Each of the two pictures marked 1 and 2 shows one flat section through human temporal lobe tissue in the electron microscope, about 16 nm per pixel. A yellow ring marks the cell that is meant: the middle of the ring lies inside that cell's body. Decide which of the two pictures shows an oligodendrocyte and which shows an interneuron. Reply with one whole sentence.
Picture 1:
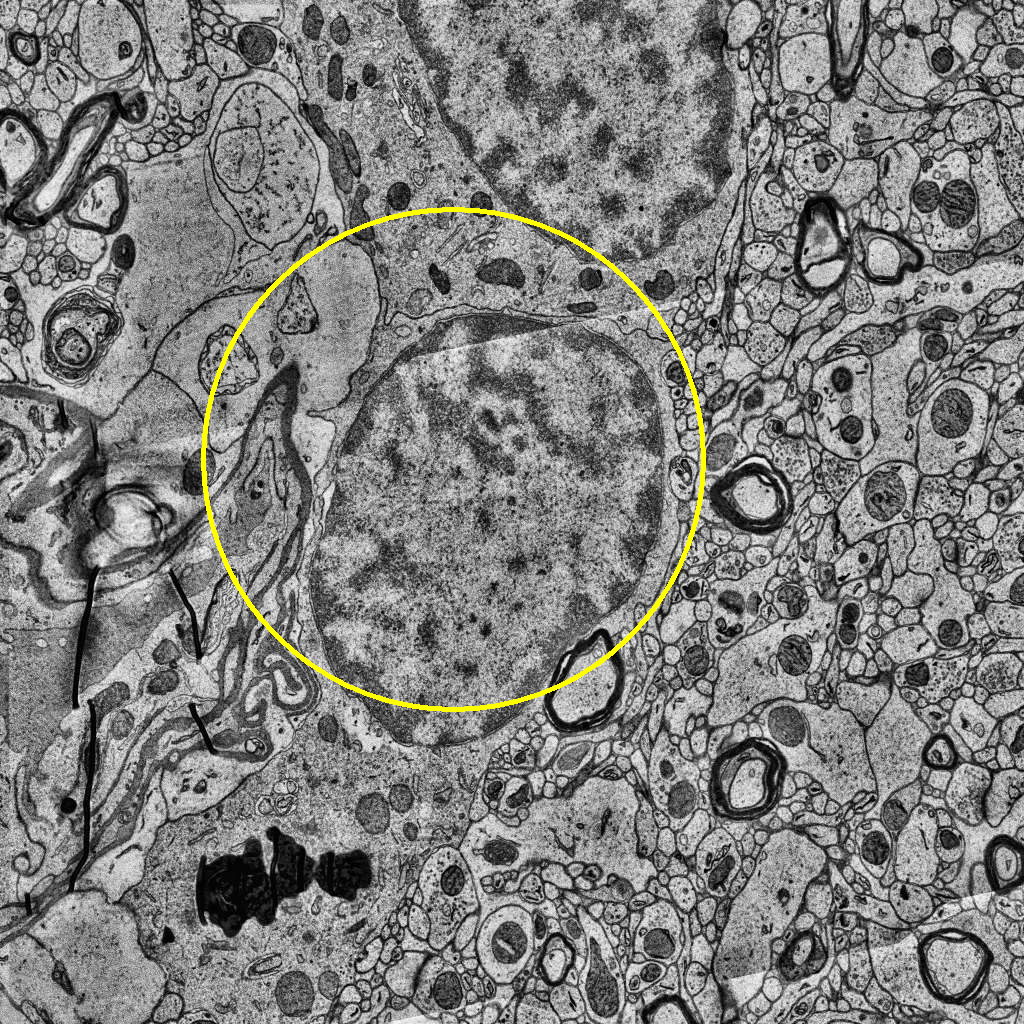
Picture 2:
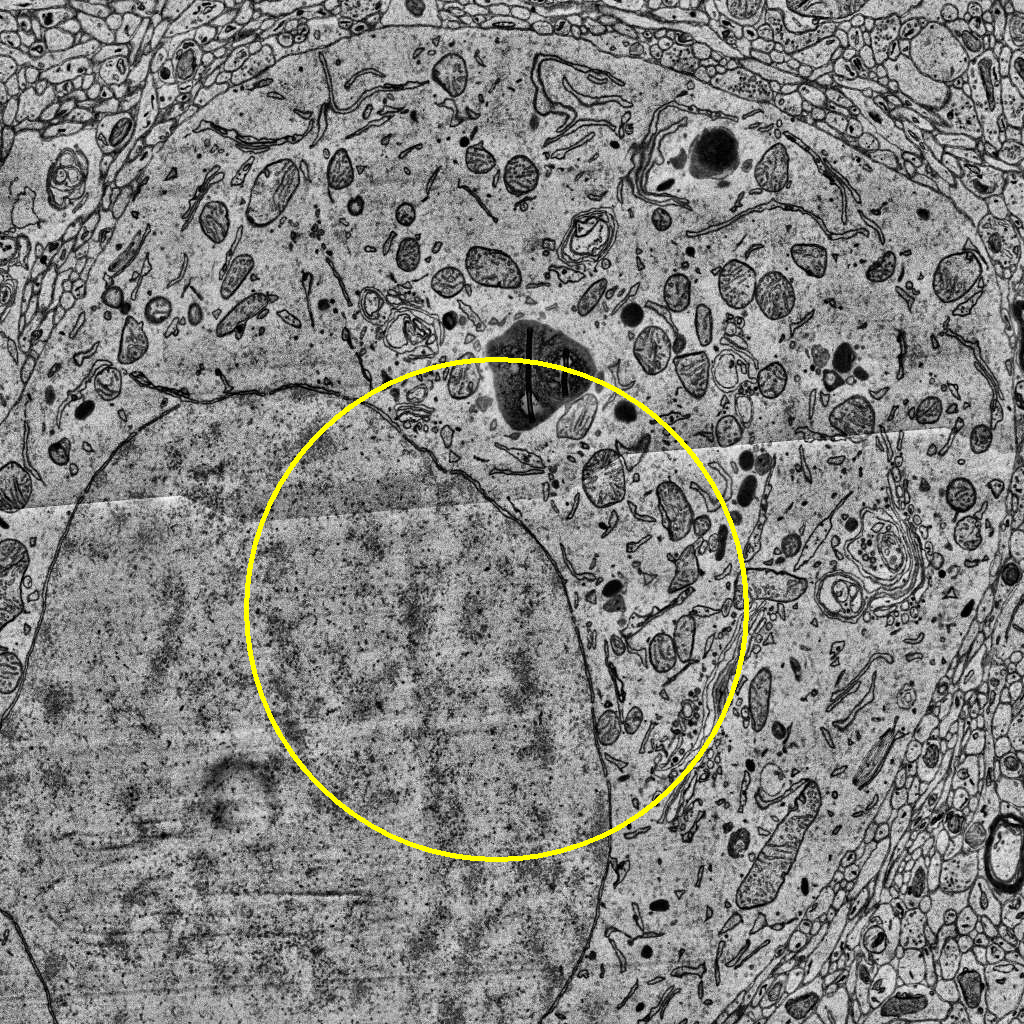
Picture 2 shows an interneuron, while picture 1 shows an oligodendrocyte.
